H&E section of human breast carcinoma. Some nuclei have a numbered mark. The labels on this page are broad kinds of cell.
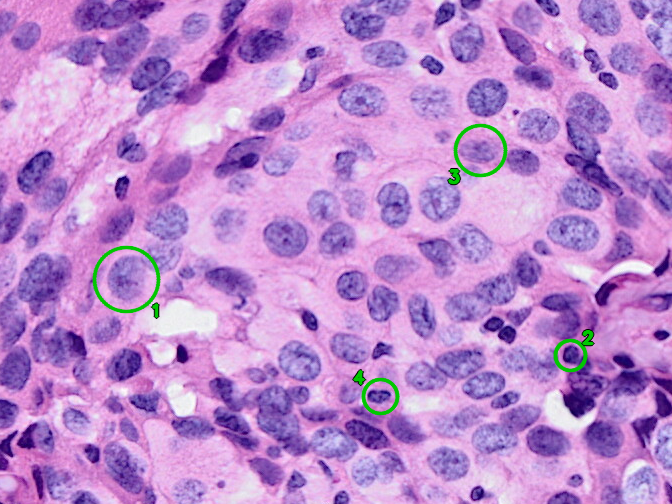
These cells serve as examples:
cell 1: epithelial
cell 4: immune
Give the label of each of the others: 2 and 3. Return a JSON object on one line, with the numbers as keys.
{"2": "immune", "3": "epithelial"}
